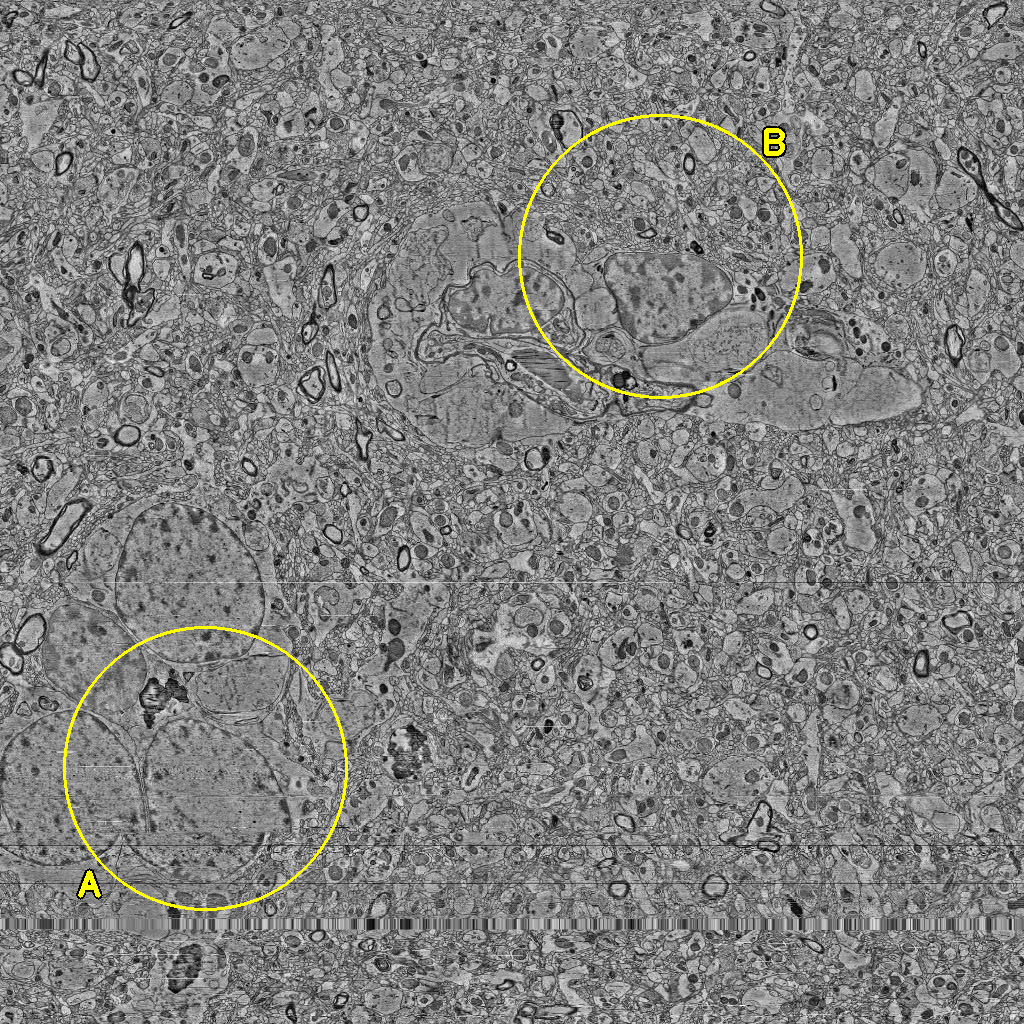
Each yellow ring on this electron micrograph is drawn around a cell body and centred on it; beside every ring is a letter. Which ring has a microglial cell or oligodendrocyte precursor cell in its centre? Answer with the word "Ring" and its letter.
Ring B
